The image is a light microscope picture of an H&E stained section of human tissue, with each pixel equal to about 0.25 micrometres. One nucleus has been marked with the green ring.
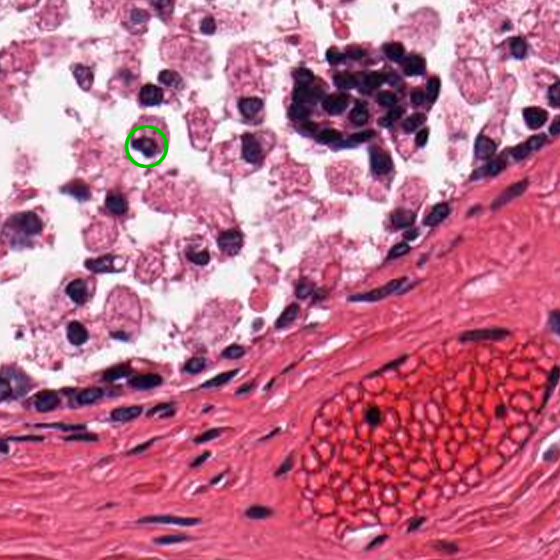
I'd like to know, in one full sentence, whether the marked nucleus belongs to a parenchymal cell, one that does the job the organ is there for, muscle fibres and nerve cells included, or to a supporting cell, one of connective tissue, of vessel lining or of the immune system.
The marked nucleus is attributed to a supporting cell.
